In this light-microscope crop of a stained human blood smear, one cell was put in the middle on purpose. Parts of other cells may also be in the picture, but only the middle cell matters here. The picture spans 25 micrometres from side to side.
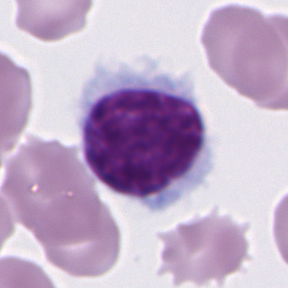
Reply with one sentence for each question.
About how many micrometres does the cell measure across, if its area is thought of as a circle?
The diameter of the cell comes to about 12 micrometres.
